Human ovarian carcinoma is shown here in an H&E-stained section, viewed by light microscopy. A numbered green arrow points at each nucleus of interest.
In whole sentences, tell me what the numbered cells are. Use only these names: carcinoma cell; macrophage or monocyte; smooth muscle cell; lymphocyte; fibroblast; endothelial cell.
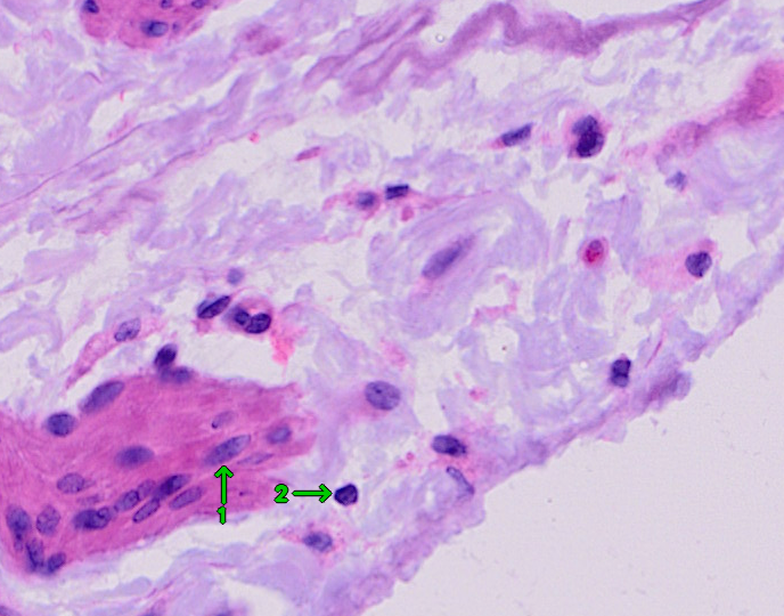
Cell 1 is a smooth muscle cell. Cell 2 is a lymphocyte.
